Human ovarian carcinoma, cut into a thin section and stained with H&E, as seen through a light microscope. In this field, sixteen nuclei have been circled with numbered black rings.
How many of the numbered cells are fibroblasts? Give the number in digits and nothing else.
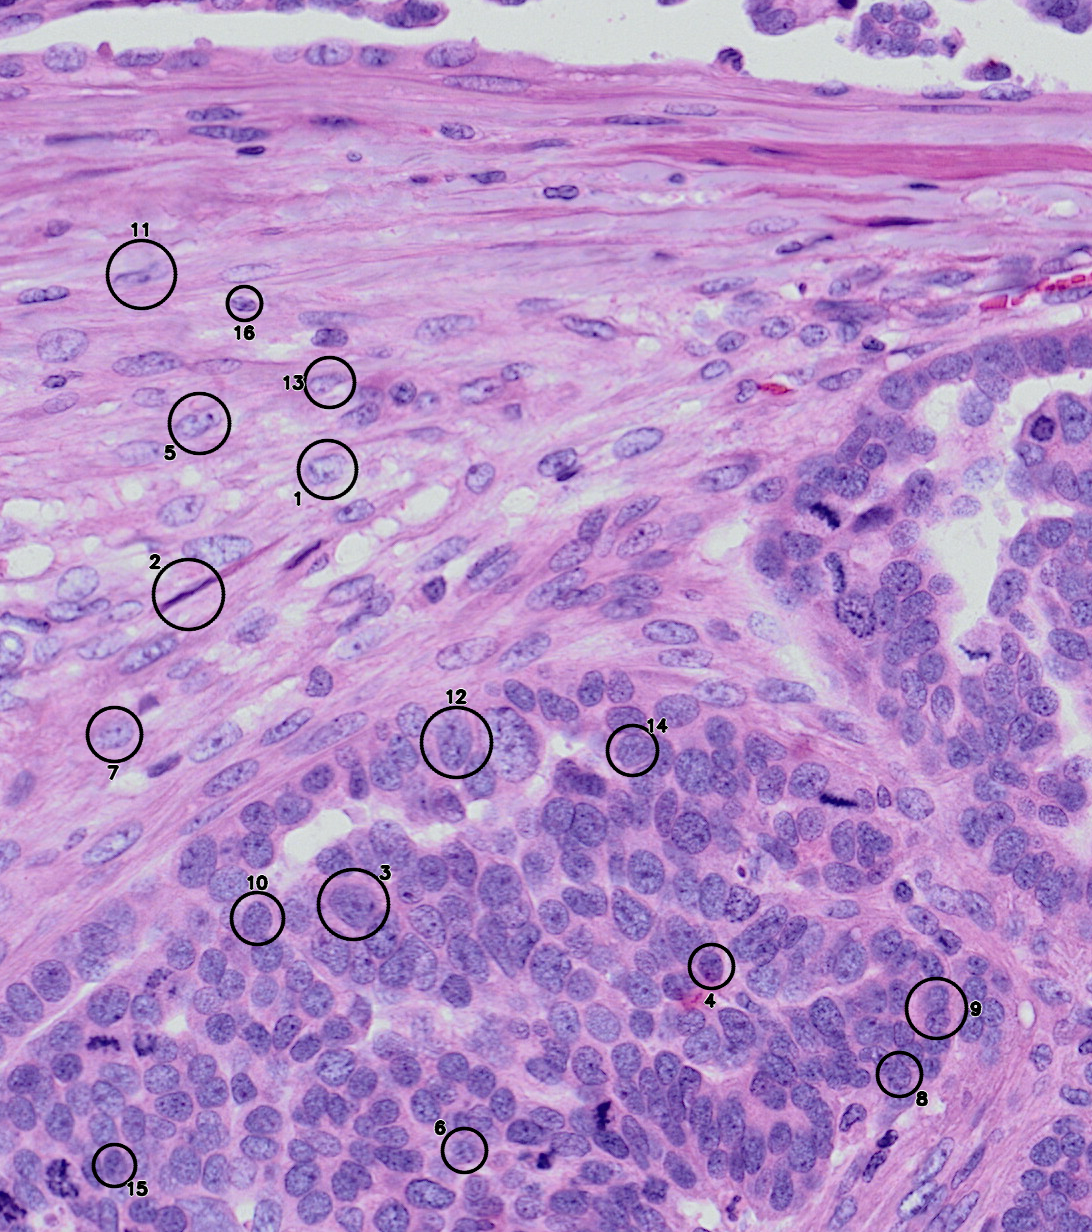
6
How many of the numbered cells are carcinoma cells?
9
